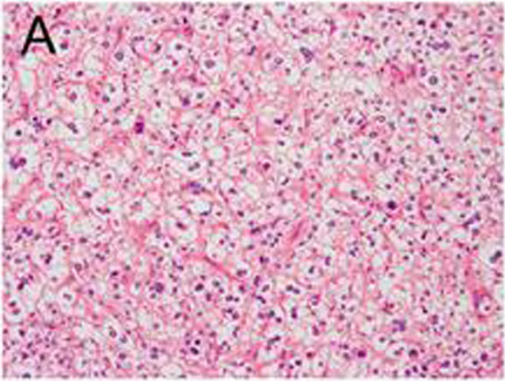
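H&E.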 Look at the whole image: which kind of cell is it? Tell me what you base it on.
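Sheets of many-sided cells packed against one another. Nuclei vary in size and darkness. The answer: polygonal tumor cells.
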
